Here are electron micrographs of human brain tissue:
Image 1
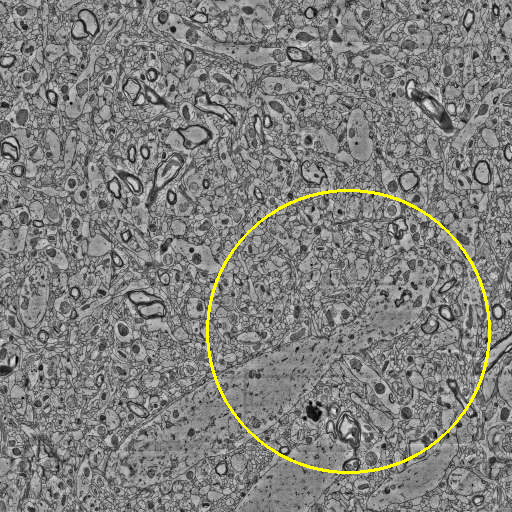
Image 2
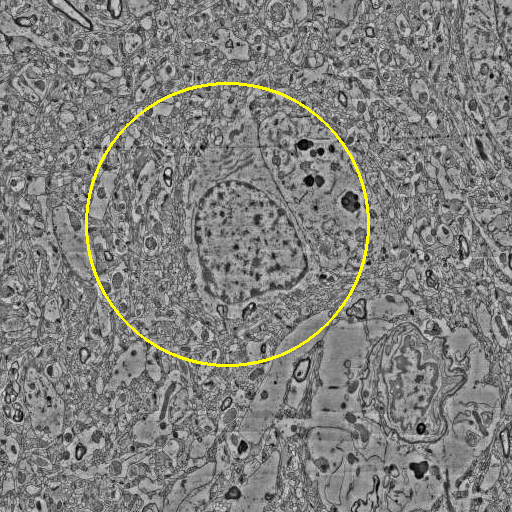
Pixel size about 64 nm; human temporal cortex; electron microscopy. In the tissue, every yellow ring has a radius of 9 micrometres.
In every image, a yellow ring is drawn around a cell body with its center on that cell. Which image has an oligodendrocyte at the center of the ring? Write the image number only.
1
